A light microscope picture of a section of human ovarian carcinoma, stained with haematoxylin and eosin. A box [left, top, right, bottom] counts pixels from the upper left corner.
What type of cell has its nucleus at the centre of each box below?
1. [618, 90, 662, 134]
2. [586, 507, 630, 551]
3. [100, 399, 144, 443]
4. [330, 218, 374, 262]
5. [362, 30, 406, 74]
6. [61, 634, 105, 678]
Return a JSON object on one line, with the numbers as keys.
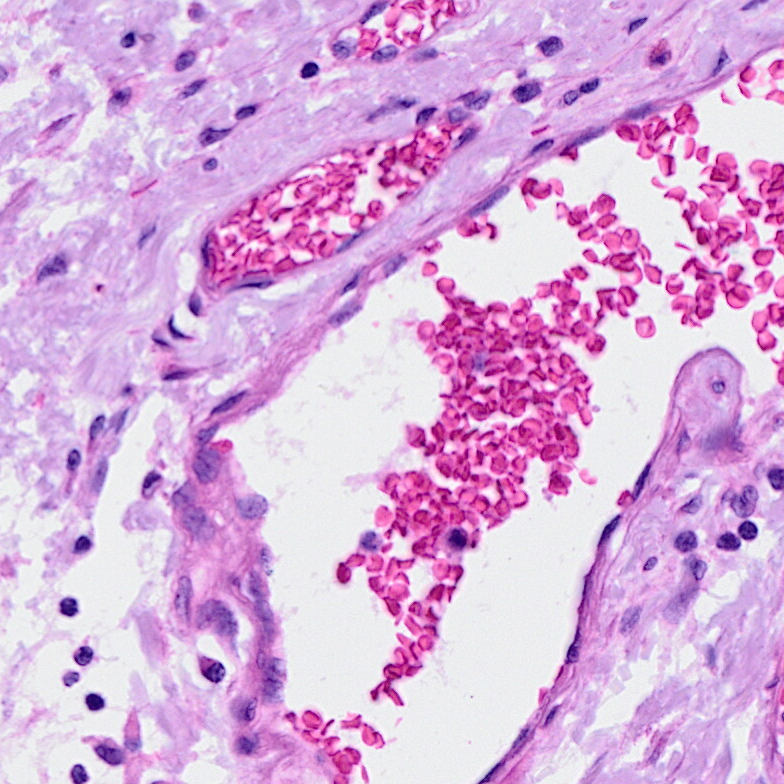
{"1": "endothelial cell", "2": "endothelial cell", "3": "fibroblast", "4": "endothelial cell", "5": "endothelial cell", "6": "lymphocyte"}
